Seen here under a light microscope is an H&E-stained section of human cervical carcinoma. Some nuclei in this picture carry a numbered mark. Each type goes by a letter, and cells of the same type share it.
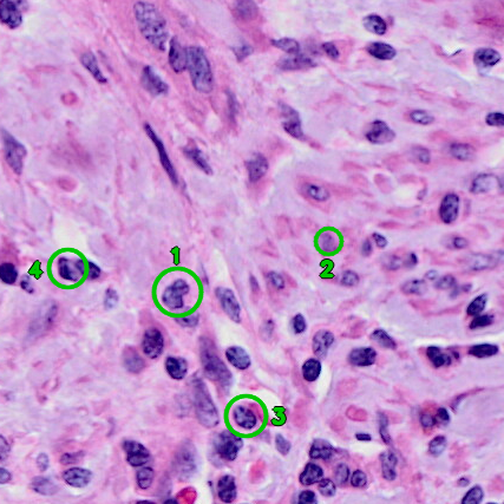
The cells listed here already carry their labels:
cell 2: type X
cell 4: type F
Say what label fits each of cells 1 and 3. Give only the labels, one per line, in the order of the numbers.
type F
type F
